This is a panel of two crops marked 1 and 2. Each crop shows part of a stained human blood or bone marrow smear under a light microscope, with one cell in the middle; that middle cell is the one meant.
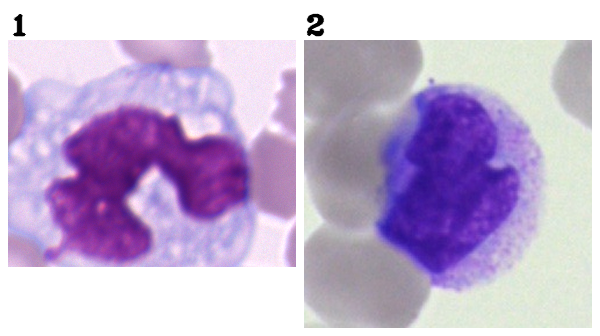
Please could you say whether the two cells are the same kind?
yes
